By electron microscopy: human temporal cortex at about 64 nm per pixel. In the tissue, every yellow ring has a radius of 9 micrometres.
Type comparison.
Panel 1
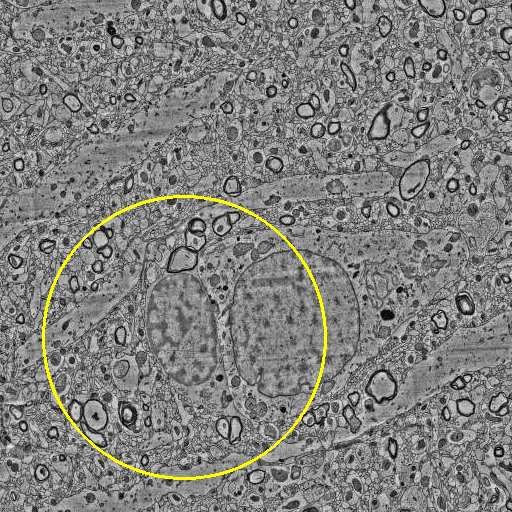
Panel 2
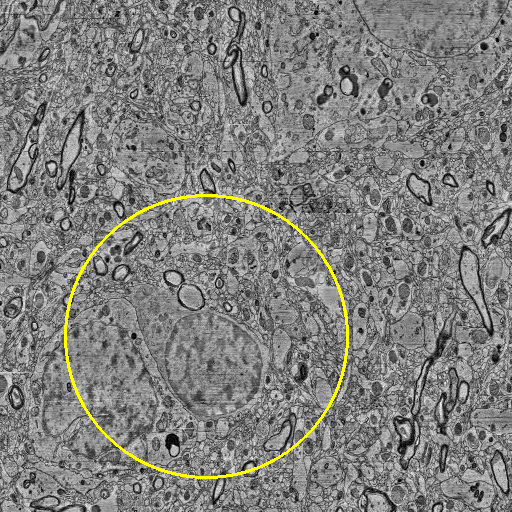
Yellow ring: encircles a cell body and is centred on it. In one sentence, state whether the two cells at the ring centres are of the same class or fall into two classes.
In these panels, the two cells at the ring centres are of the same class.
